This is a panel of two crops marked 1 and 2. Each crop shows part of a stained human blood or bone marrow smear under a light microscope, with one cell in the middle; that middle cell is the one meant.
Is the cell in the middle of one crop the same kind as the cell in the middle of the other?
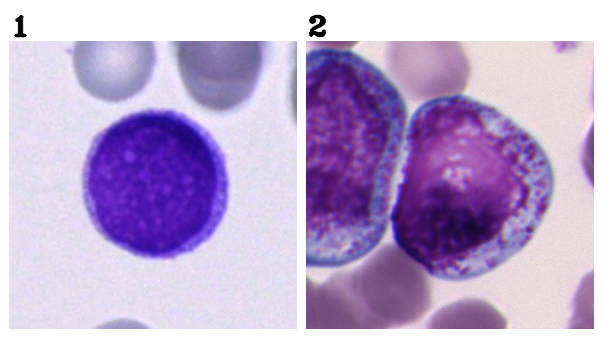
no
